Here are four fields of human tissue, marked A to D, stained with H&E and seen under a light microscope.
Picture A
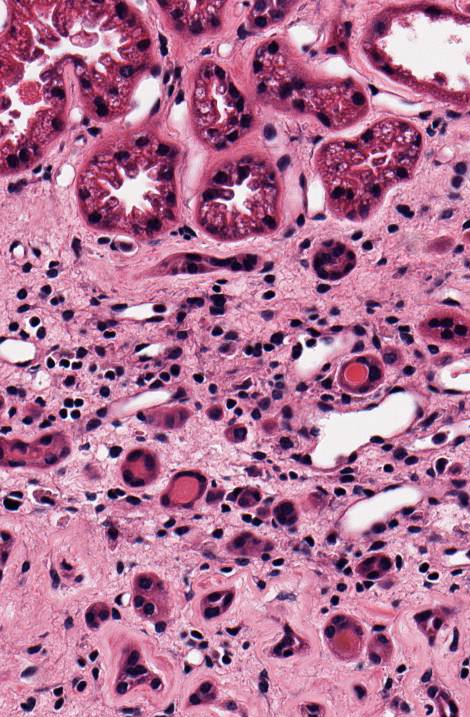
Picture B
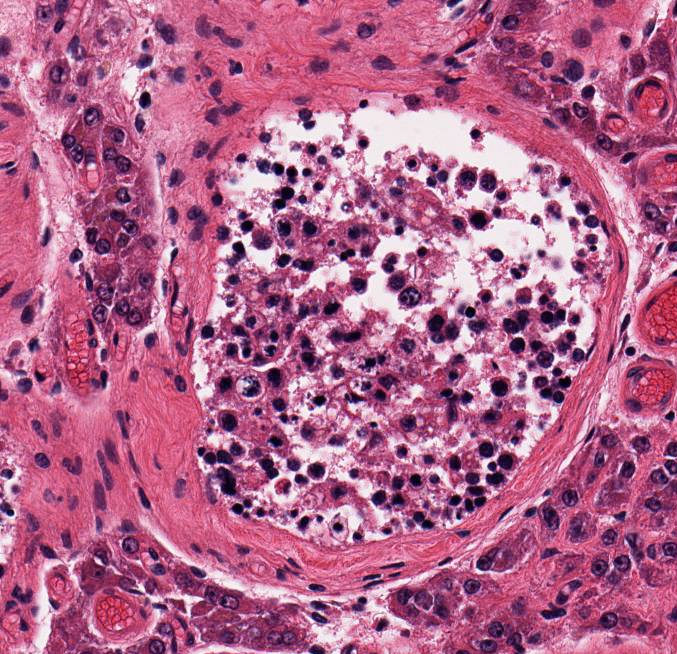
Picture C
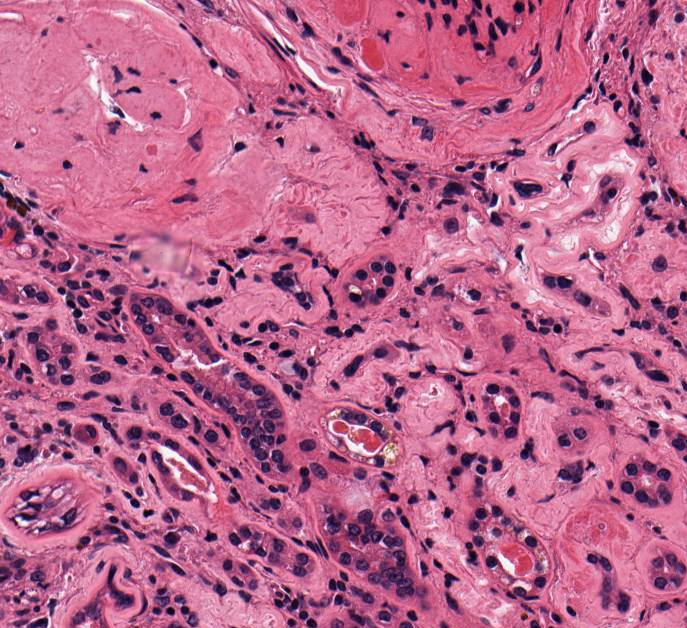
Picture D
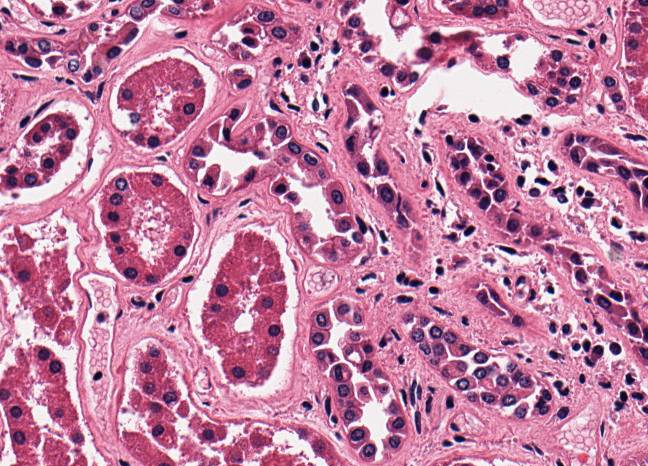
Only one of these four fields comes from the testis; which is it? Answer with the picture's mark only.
B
